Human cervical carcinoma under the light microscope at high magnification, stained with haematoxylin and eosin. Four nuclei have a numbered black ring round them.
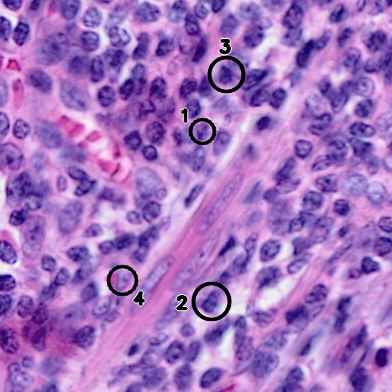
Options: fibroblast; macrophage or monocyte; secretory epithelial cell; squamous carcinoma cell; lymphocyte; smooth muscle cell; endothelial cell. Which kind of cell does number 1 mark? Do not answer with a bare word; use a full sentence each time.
The cell marked with number 1 is a lymphocyte.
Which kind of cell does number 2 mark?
Of the numbered cells, the one labelled 2 is a lymphocyte.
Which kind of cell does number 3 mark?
The cell with the number 3 is a lymphocyte.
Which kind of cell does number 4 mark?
Heads up, the cell numbered 4 is an endothelial cell.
